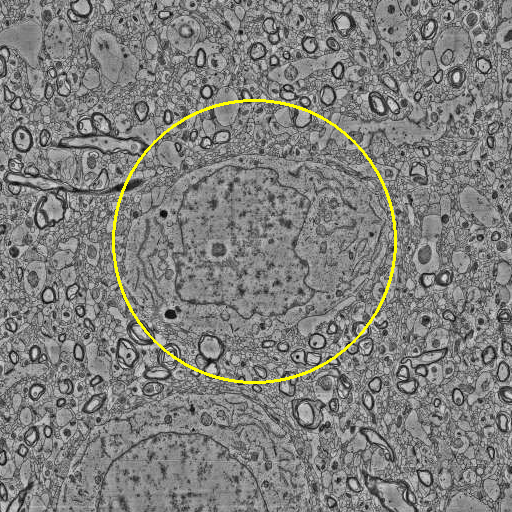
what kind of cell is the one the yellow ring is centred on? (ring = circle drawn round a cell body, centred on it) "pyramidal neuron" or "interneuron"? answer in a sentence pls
The ring is drawn around an interneuron.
